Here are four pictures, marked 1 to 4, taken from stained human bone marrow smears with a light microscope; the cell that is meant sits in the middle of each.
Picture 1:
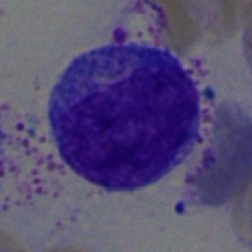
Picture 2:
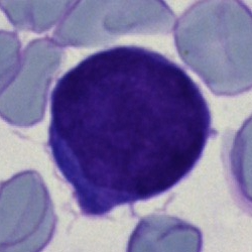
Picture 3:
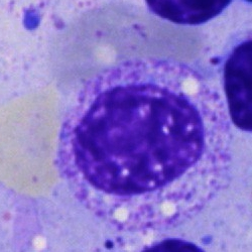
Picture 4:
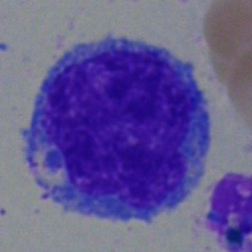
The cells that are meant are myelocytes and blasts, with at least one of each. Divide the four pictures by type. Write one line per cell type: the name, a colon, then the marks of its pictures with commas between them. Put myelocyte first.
myelocyte: 1, 3
blast: 2, 4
